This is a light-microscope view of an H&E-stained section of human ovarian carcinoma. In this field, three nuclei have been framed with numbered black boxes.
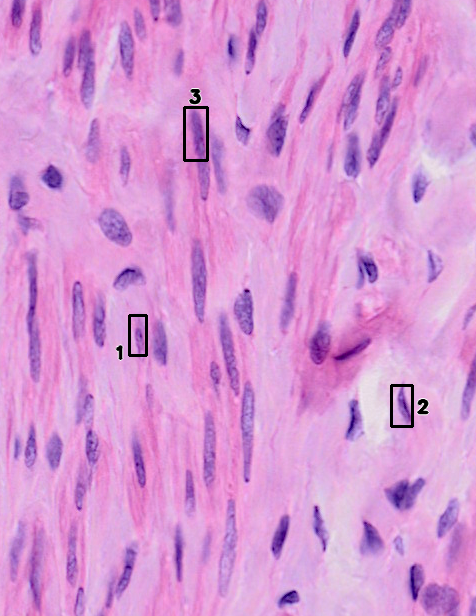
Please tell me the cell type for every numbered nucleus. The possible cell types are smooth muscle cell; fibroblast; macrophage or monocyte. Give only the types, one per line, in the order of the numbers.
smooth muscle cell
fibroblast
smooth muscle cell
